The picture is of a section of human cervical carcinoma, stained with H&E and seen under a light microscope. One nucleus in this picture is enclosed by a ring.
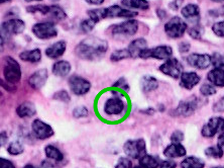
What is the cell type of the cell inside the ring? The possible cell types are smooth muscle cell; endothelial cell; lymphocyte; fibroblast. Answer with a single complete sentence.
The cell inside the ring is a lymphocyte.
